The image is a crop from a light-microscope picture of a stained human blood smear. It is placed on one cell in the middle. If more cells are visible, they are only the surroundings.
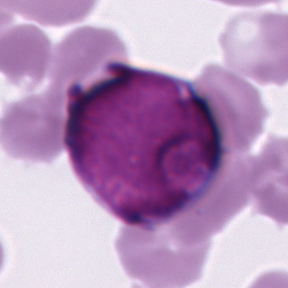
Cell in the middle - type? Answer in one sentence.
The cell centred in this crop is categorized as a myeloblast.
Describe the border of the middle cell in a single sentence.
The outline of this cell is not smooth but ragged or drawn out into projections.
